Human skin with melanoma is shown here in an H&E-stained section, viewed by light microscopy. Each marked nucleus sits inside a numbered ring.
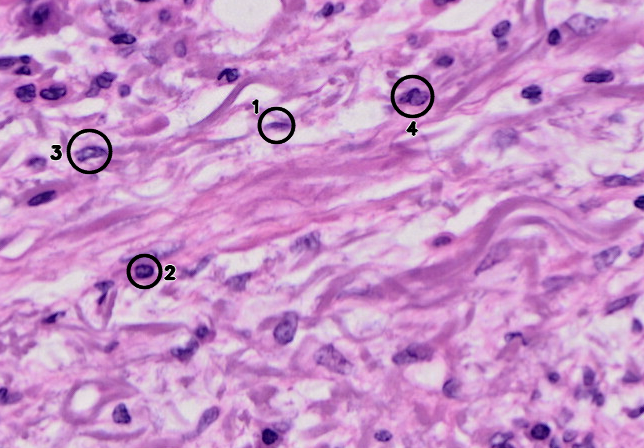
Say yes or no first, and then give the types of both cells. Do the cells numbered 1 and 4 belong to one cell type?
No, that is not right: cell 1 is a fibroblast or myofibroblast and cell 4 is a macrophage or monocyte.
